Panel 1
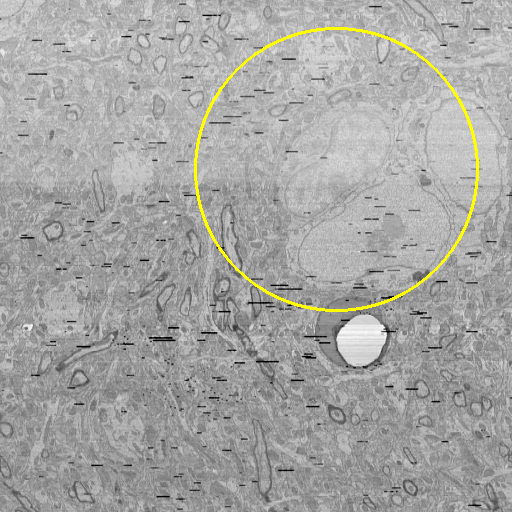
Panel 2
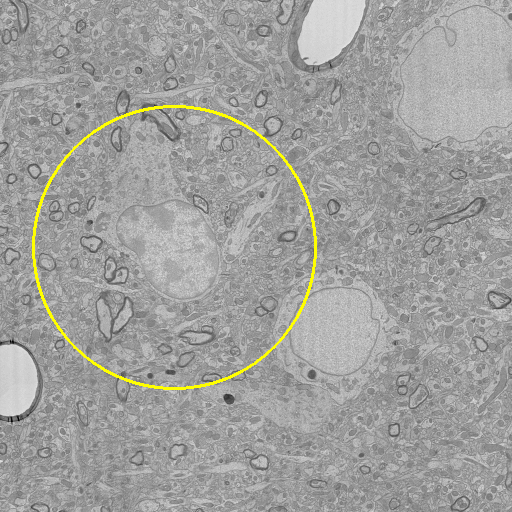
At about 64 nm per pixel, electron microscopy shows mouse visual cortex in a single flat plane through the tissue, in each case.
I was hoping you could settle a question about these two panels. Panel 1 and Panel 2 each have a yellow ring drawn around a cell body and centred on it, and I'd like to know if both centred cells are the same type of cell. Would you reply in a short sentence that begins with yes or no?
Yes, both are the same type of cell.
